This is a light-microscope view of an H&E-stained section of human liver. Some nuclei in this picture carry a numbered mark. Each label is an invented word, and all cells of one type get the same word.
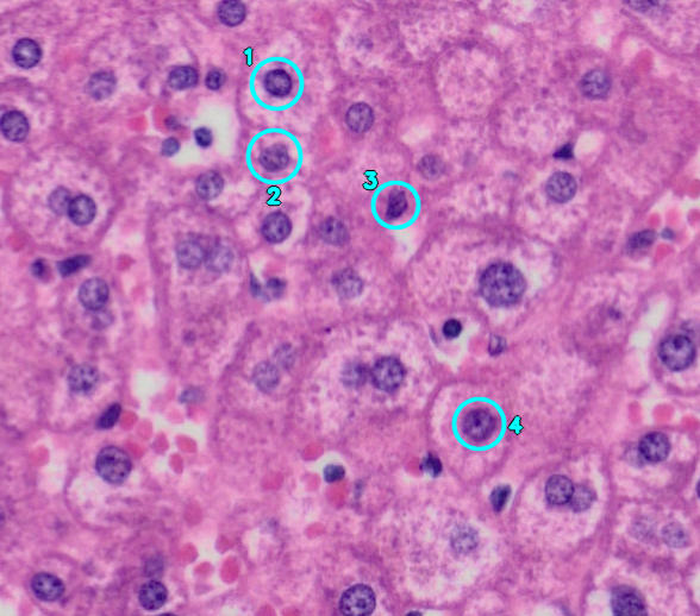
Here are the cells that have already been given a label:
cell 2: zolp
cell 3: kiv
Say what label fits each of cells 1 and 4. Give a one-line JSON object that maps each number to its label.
{"1": "zolp", "4": "zolp"}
